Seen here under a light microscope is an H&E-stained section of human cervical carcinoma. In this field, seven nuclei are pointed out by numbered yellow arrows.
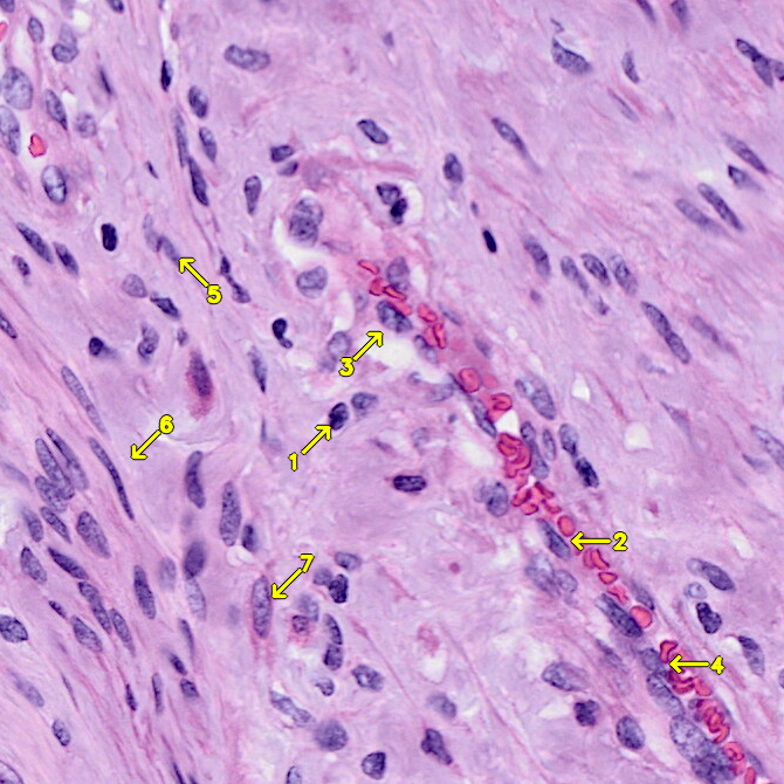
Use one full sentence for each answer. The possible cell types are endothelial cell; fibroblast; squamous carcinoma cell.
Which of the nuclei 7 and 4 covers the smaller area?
Nucleus 4 is the smaller one; nucleus 7 covers about 2 times its area.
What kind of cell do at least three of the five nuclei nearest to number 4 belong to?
Of the five nuclei nearest to number 4, most belong to endothelial cells.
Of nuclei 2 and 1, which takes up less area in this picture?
The smaller nucleus is 1, and 2 covers roughly 1.5 times its area.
